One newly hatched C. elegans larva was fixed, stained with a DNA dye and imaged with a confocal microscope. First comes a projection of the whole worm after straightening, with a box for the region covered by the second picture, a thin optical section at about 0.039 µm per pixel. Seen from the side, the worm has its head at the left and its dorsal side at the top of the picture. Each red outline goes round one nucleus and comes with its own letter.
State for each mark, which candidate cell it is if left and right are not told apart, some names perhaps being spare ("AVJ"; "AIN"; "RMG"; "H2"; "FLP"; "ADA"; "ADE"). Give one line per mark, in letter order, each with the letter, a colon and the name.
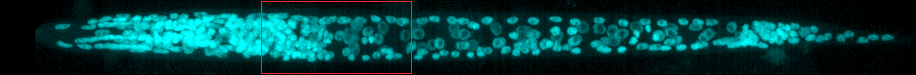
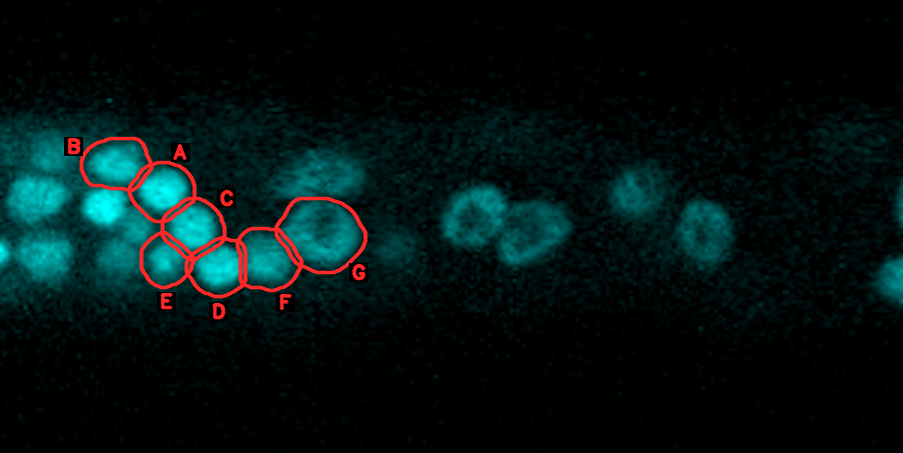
A: AIN
B: AVJ
C: ADE
D: ADA
E: FLP
F: RMG
G: H2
